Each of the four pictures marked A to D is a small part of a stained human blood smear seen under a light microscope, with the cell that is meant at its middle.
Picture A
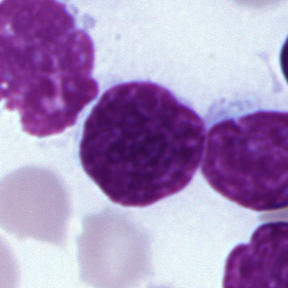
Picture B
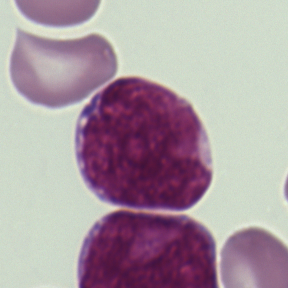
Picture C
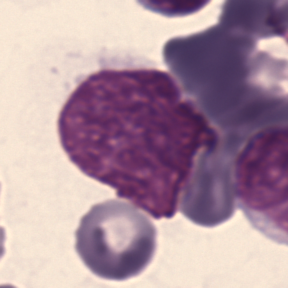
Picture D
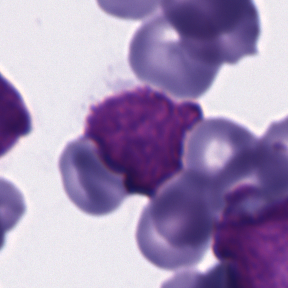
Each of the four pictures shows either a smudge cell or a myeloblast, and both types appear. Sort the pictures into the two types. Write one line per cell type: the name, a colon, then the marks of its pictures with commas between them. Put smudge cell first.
smudge cell: C, D
myeloblast: A, B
